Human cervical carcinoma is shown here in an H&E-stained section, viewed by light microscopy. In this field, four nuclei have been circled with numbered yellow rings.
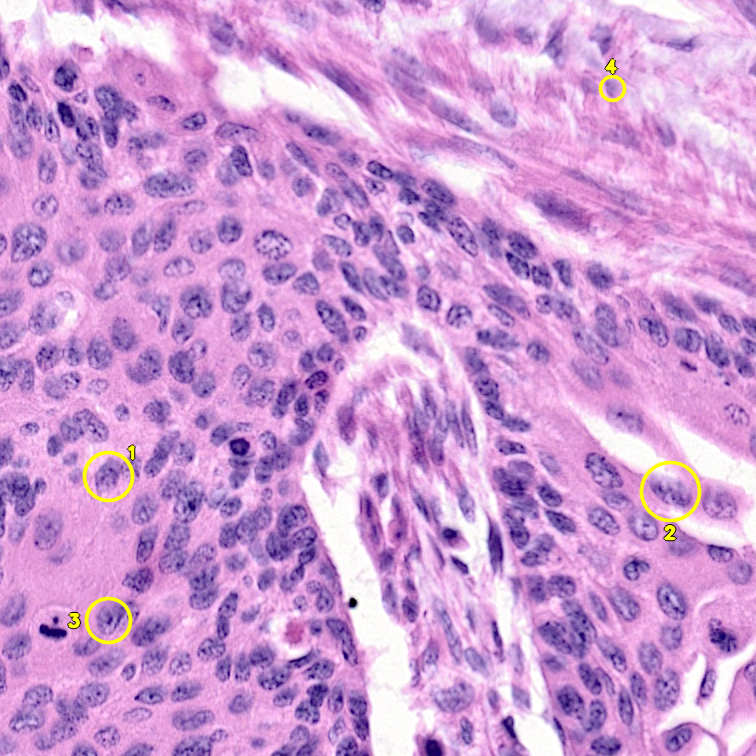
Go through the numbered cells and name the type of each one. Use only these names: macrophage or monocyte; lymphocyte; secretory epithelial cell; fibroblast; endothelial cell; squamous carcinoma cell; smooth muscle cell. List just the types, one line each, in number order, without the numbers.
squamous carcinoma cell
squamous carcinoma cell
squamous carcinoma cell
fibroblast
